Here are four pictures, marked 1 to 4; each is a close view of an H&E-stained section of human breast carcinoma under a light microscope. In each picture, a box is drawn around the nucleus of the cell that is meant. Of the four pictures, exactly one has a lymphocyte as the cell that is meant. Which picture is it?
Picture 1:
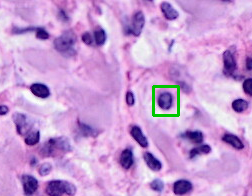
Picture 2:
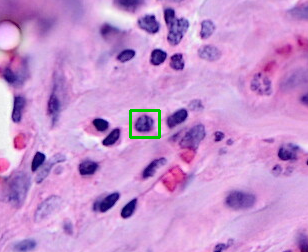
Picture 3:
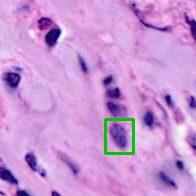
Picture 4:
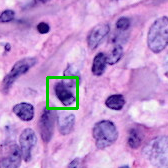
4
